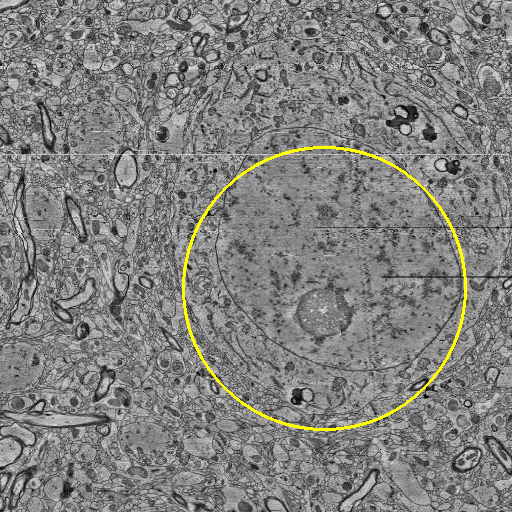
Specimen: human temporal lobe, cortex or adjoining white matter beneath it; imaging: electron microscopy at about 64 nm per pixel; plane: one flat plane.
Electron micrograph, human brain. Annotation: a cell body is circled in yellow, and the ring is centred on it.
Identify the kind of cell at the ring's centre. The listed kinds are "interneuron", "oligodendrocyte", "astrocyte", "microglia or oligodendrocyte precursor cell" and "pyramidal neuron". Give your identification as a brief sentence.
The circled cell body is that of a pyramidal neuron.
